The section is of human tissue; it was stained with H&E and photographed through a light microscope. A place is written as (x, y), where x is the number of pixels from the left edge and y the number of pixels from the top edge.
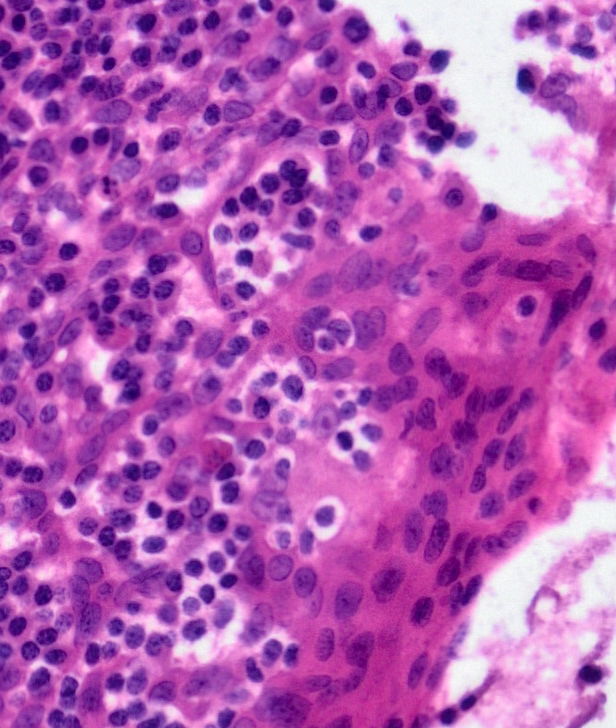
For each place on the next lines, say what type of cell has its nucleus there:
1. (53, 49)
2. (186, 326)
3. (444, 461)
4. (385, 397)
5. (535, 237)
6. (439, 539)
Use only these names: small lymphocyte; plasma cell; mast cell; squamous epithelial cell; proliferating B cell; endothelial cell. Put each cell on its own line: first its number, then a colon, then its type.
1: plasma cell
2: plasma cell
3: squamous epithelial cell
4: squamous epithelial cell
5: squamous epithelial cell
6: squamous epithelial cell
